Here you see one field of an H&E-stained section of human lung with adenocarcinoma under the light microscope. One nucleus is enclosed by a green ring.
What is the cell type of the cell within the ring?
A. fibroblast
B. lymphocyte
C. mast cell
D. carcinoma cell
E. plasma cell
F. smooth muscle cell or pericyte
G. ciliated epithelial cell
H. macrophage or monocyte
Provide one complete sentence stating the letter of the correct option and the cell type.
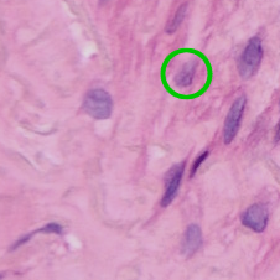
The choice that fits is option F, as the cell within the ring is a smooth muscle cell or pericyte.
